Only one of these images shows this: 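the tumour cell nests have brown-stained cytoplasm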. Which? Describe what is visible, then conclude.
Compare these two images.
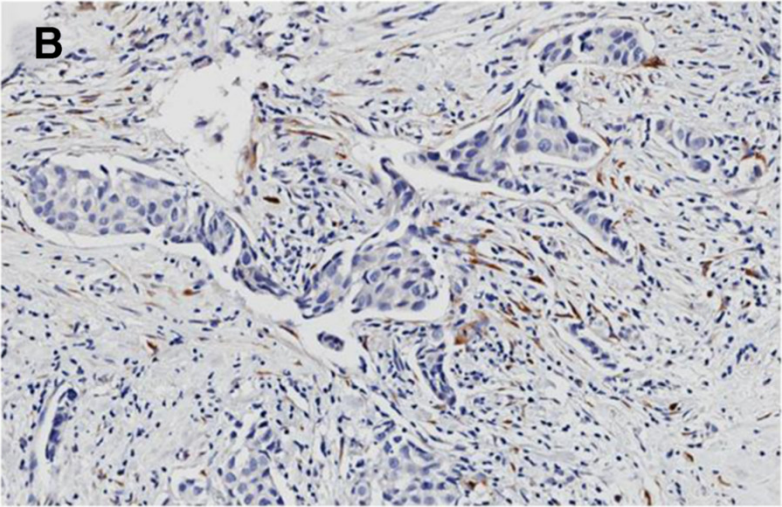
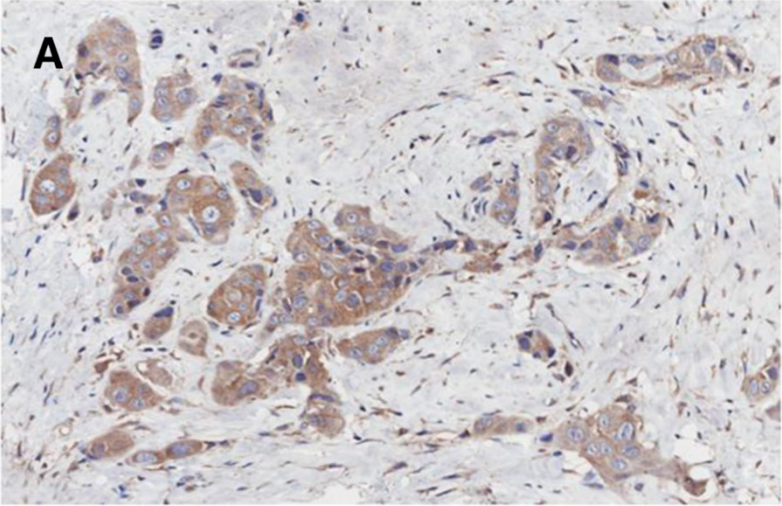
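First image: the epithelial nests are blue with no brown cytoplasm; only stromal spindle cells are brown. Second image: the nests of large tumour cells have diffusely brown cytoplasm.
Conclusion: the second image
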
